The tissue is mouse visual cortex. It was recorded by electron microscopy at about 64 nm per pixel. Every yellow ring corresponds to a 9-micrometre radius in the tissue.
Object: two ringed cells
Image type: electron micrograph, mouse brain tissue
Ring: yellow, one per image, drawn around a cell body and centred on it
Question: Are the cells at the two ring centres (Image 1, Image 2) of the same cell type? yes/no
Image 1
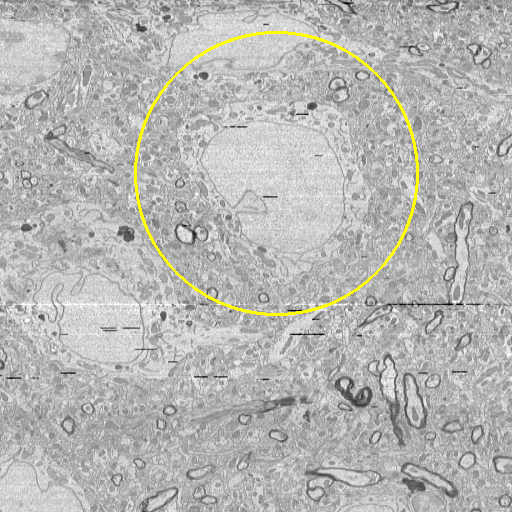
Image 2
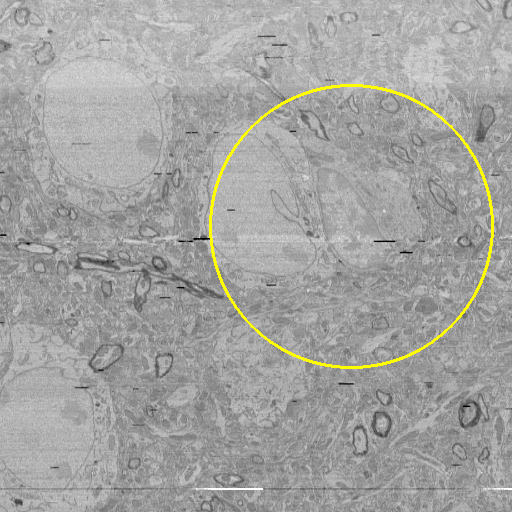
no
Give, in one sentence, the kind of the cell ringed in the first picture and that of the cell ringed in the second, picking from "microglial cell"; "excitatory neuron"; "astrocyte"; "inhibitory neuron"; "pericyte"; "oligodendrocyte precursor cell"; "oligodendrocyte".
For the first picture it is an excitatory neuron; for the second, an oligodendrocyte.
